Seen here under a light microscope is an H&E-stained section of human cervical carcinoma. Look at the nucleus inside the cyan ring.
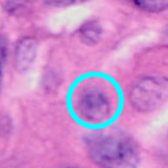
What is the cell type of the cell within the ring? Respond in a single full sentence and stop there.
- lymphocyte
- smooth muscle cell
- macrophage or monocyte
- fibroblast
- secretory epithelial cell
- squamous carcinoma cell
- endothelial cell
Right, so the cell within the ring is a squamous carcinoma cell, to answer that.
